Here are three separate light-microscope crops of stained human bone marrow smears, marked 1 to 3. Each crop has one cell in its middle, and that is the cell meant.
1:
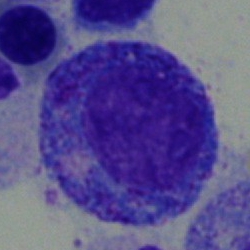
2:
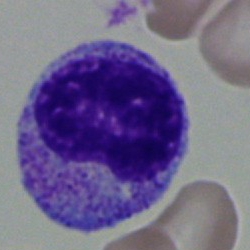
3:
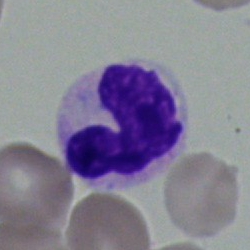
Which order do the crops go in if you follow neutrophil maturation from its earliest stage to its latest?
1, 2, 3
